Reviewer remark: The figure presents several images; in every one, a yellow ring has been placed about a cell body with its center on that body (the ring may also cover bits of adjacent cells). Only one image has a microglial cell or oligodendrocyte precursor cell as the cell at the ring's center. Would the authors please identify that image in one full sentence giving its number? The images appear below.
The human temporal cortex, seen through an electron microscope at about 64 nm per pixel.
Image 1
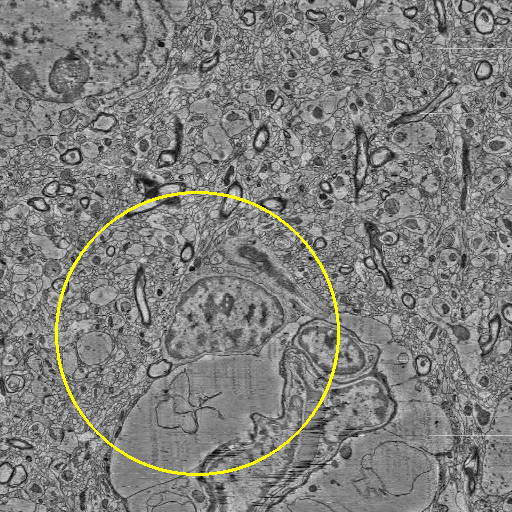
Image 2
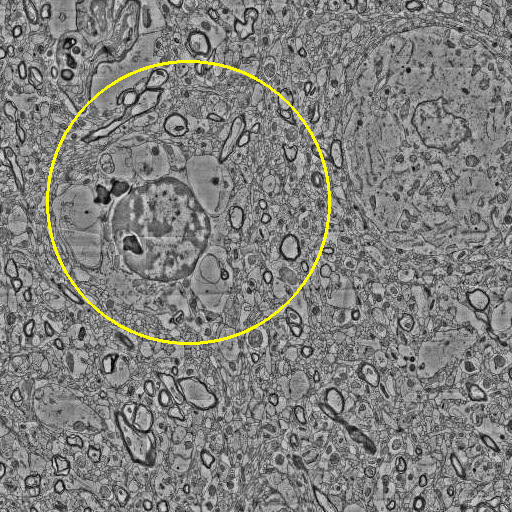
The ring's central cell in image 2 is the one the question describes.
